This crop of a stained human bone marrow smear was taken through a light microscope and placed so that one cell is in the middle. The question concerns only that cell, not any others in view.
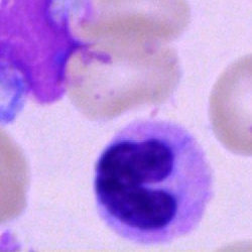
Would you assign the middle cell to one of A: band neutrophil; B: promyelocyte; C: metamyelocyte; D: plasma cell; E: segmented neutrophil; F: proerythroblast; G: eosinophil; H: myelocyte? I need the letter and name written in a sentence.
Identification: the cell in the middle is a band neutrophil, matching option A.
